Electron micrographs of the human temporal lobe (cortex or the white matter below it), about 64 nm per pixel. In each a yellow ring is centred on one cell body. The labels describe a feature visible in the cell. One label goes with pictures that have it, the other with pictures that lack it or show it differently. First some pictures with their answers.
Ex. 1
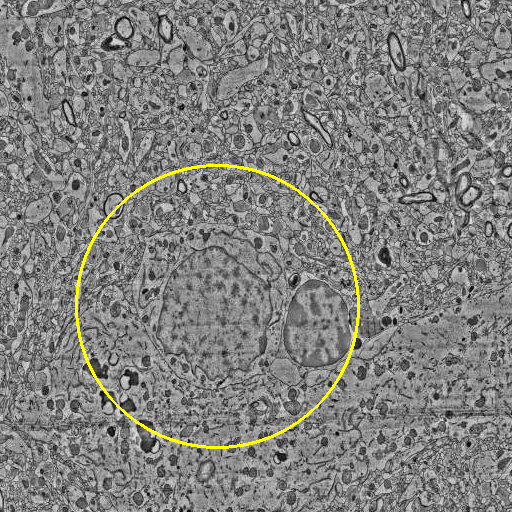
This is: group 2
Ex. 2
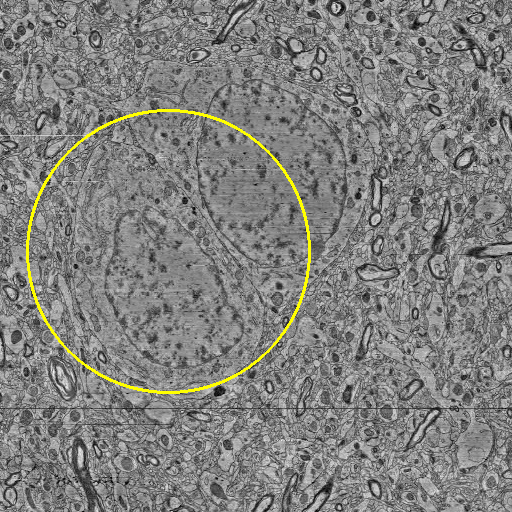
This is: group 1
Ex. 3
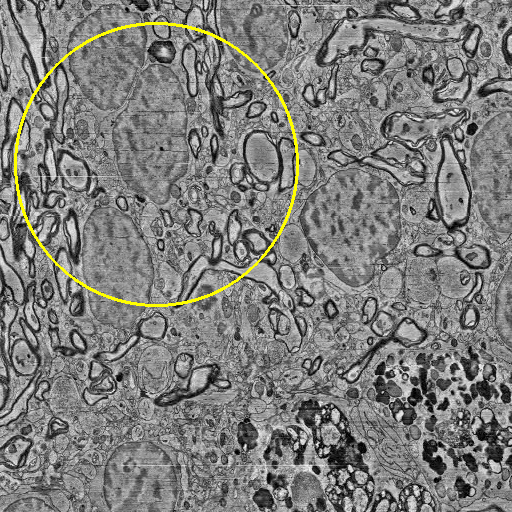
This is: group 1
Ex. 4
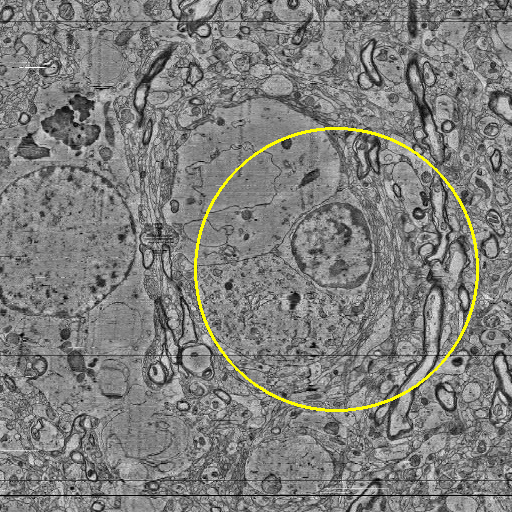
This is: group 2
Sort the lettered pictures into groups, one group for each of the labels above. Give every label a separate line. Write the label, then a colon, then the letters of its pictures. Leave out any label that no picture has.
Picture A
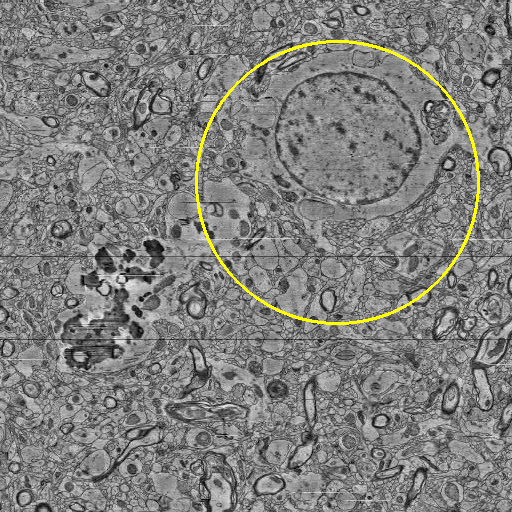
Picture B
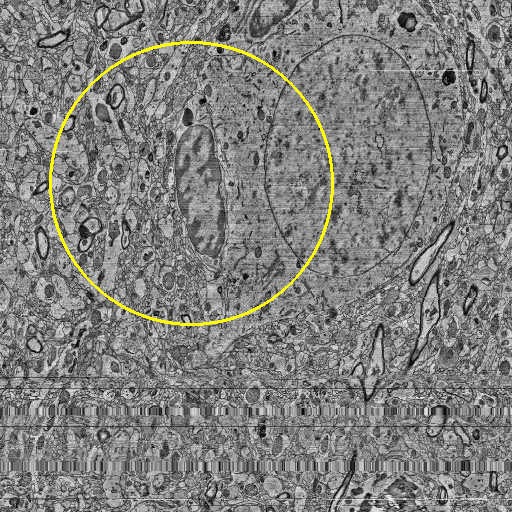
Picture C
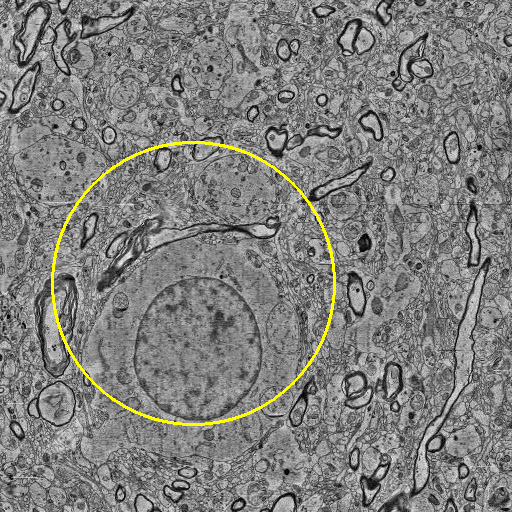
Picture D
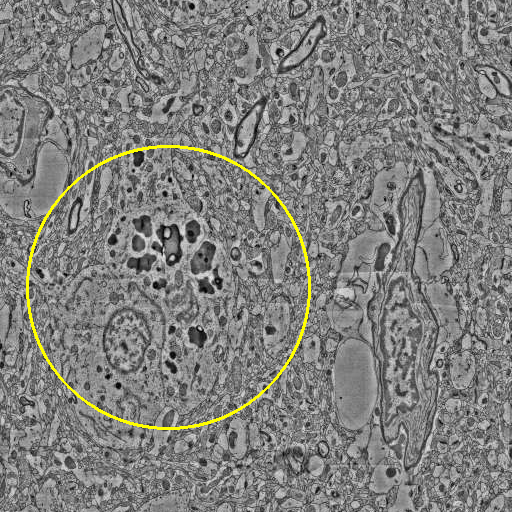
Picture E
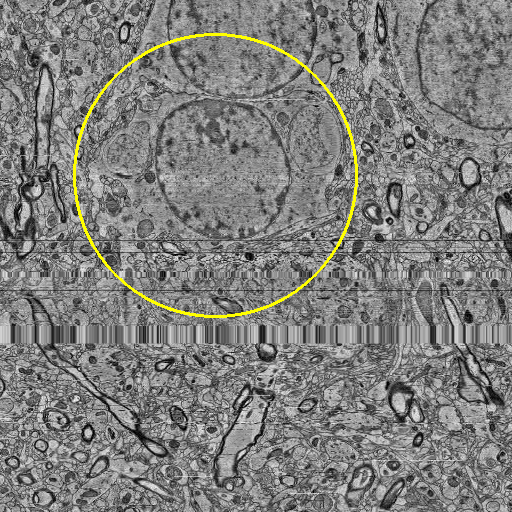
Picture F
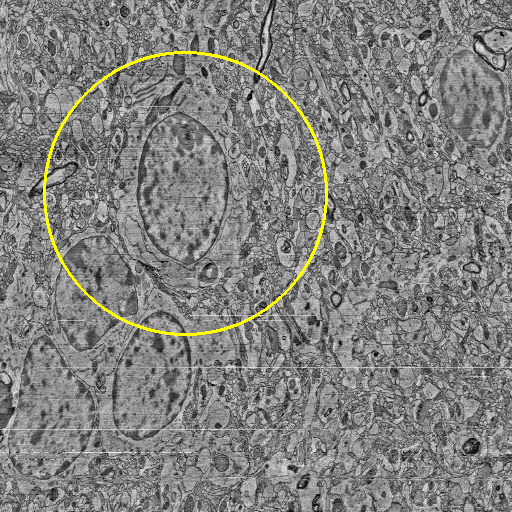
group 2: A, C, D, E
group 1: B, F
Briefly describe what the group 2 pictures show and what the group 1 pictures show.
Seen in group 2: round or nearly round nuclei; seen in group 1: clearly elongated nuclei.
